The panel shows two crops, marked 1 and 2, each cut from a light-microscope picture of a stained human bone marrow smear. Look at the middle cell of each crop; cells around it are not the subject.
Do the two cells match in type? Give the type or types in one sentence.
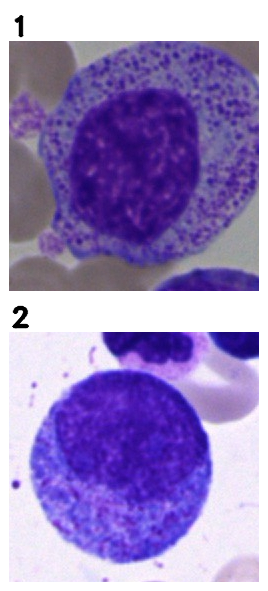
Yes, both crops show promyelocytes in their central position.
